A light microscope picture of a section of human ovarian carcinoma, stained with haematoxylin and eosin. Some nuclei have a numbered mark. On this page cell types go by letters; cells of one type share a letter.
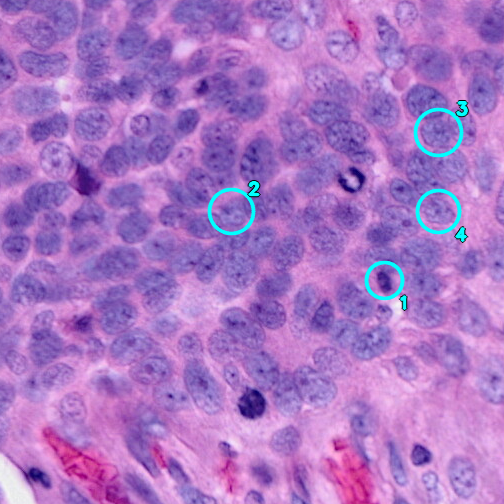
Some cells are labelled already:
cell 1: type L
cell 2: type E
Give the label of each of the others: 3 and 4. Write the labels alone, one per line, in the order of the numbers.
type E
type E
